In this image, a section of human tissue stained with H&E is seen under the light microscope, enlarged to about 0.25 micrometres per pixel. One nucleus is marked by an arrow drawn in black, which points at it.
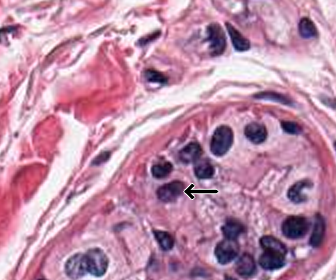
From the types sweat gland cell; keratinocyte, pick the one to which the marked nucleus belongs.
sweat gland cell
